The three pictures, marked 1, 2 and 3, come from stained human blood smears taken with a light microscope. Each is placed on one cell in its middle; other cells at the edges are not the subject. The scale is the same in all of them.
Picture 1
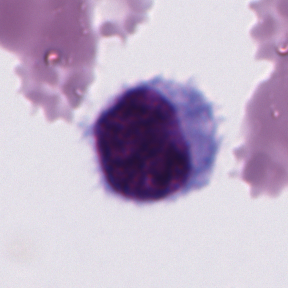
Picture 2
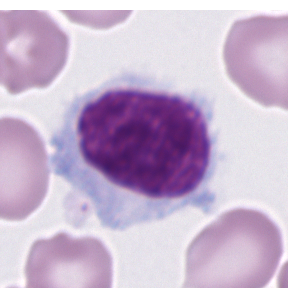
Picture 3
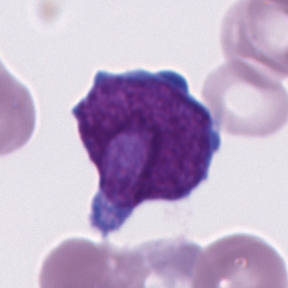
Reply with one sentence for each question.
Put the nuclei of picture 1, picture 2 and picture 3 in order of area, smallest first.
Smallest first: 1, 2, 3.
